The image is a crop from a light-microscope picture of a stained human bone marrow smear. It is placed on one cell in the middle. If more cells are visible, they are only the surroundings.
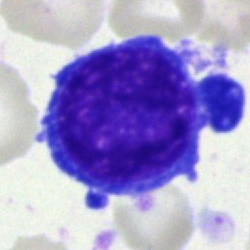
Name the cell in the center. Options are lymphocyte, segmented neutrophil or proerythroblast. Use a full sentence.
Looking at the middle of the crop, the cell there is a proerythroblast.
